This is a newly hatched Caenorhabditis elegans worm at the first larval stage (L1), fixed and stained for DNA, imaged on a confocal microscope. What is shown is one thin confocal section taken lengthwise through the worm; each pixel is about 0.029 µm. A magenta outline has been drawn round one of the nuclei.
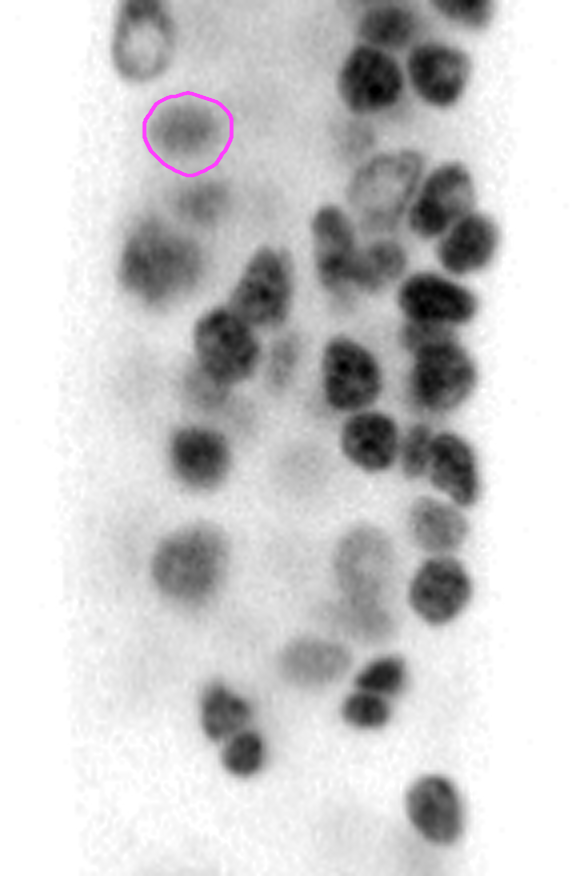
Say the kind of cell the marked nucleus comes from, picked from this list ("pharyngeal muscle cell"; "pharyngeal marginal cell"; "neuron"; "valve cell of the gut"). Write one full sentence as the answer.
This nucleus is from a neuron.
